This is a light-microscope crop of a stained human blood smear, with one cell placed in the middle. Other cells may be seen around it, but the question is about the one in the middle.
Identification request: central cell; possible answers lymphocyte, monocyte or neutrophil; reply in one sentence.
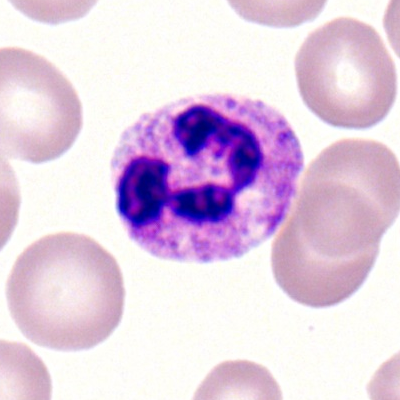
The cell in the middle of the field of view is a neutrophil.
